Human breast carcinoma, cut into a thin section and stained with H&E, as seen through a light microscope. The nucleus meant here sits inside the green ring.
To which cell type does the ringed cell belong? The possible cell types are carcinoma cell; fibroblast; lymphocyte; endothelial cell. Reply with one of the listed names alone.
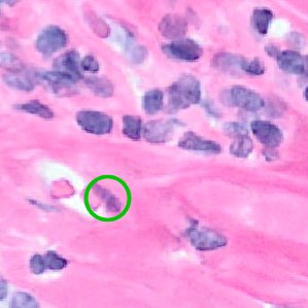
endothelial cell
